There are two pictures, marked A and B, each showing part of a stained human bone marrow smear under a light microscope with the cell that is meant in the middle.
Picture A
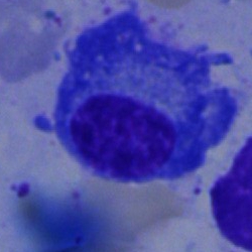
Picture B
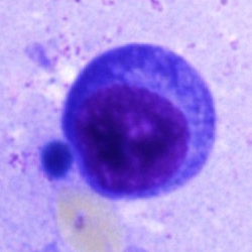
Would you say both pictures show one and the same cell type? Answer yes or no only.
yes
